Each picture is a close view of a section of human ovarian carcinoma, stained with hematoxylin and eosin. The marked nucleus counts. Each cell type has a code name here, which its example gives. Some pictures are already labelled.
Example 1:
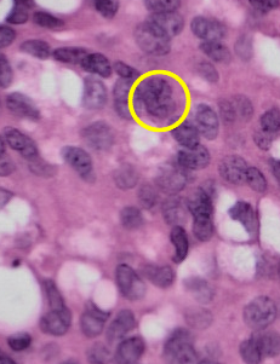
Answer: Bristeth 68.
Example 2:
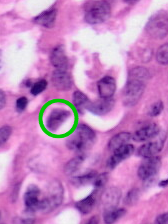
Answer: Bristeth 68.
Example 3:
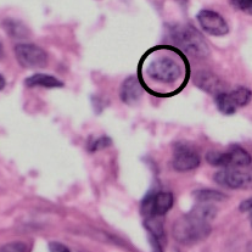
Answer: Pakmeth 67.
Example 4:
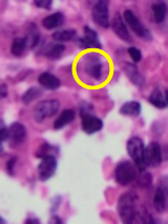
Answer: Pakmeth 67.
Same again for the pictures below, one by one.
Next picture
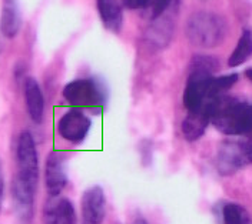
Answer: Bristeth 68.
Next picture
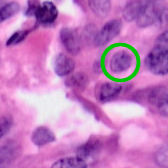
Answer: Pakmeth 67.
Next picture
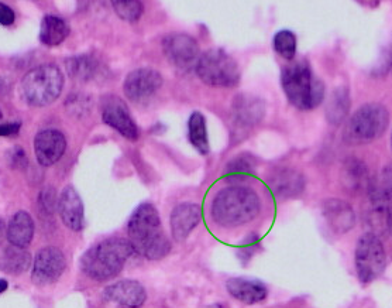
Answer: Bristeth 68.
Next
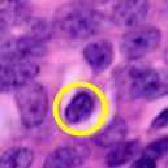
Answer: Pakmeth 67.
